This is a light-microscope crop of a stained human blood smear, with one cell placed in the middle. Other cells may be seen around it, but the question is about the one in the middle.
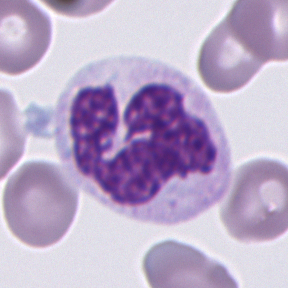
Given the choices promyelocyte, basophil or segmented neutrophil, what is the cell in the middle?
segmented neutrophil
